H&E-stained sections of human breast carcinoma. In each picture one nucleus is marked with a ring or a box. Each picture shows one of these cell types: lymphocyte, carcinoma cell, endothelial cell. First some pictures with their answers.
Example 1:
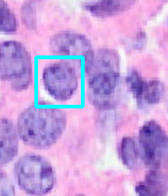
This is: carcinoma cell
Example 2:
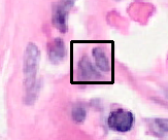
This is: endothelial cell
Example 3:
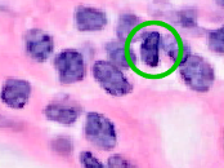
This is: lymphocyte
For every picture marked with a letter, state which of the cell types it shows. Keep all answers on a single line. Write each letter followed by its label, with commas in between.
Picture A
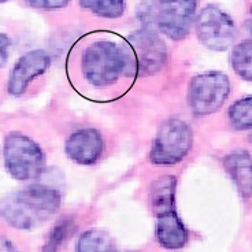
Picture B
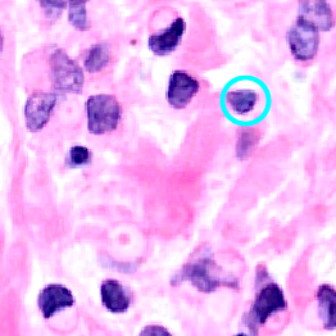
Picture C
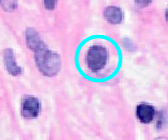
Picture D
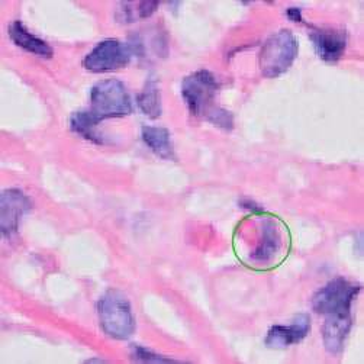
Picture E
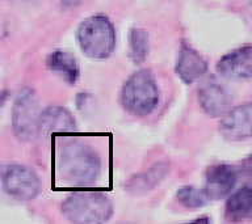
A carcinoma cell, B lymphocyte, C lymphocyte, D endothelial cell, E carcinoma cell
